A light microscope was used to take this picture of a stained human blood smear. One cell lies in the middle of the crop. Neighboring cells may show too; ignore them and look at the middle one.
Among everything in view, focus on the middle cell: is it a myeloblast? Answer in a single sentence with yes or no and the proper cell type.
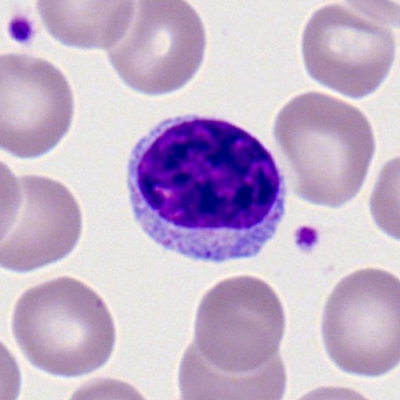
No, instead of a myeloblast, the centred cell represents a lymphocyte.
